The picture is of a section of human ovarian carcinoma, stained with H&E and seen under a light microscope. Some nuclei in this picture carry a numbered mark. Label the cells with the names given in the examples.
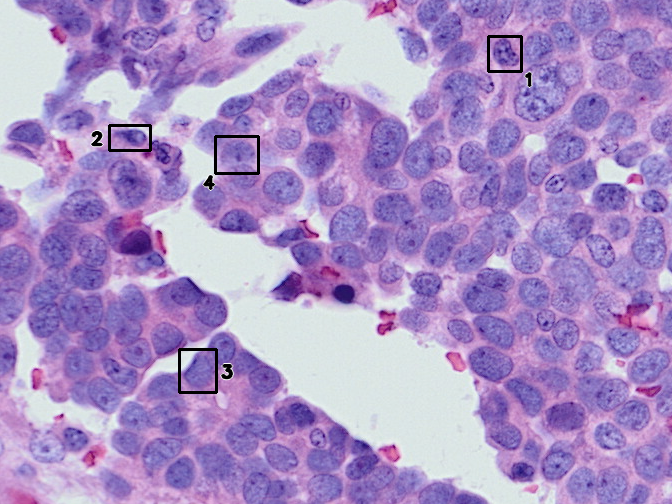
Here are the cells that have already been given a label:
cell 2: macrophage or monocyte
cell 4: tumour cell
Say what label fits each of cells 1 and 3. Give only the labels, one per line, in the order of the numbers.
macrophage or monocyte
tumour cell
